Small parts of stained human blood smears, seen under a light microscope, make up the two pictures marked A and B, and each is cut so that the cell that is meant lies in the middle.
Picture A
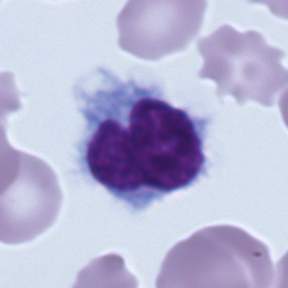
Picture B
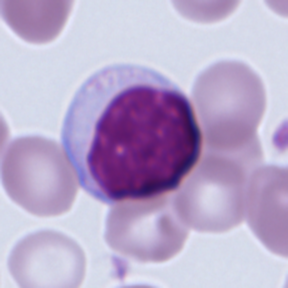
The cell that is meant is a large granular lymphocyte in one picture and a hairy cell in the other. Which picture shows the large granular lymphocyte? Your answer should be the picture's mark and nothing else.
B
